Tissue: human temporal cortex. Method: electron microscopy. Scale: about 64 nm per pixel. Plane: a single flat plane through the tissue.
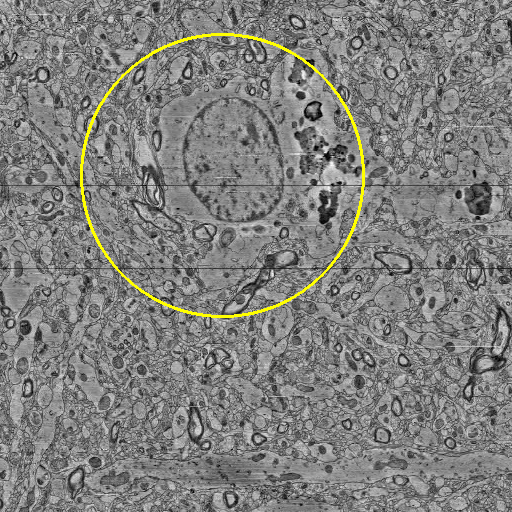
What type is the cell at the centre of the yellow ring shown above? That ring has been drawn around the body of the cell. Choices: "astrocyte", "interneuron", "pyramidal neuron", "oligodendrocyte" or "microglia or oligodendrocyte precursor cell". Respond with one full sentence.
My answer is that an astrocyte lies at the centre of the yellow ring above.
